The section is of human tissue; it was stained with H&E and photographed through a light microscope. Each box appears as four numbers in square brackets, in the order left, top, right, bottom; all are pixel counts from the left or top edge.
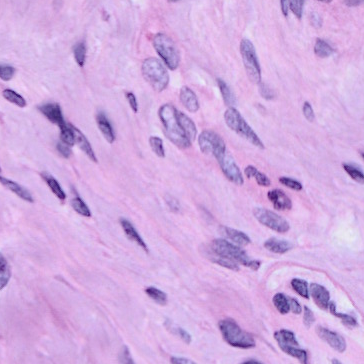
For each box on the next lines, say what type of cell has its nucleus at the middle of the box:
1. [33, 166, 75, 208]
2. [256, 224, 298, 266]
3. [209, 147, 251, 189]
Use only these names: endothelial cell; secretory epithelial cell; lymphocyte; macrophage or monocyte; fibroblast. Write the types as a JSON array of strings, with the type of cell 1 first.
["fibroblast", "fibroblast", "endothelial cell"]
